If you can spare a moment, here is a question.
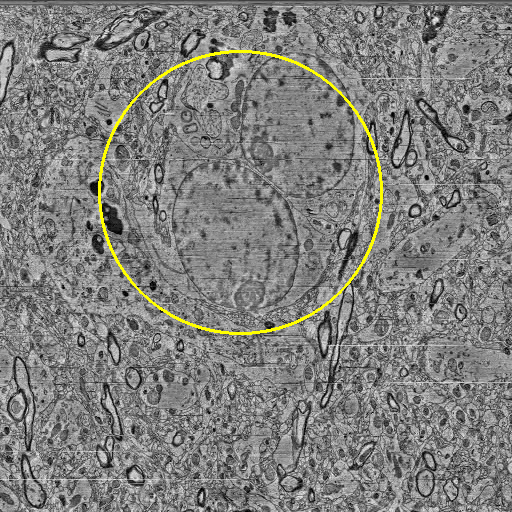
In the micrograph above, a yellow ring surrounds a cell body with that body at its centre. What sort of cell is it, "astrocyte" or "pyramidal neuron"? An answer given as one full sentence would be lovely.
Centred inside the yellow ring, the cell body shown belongs to an astrocyte in this micrograph.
